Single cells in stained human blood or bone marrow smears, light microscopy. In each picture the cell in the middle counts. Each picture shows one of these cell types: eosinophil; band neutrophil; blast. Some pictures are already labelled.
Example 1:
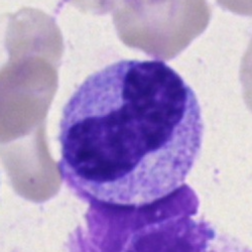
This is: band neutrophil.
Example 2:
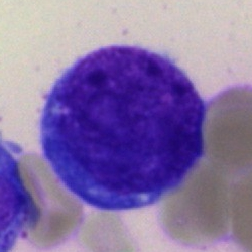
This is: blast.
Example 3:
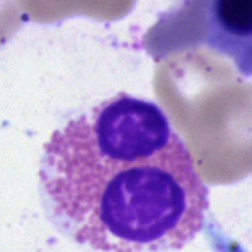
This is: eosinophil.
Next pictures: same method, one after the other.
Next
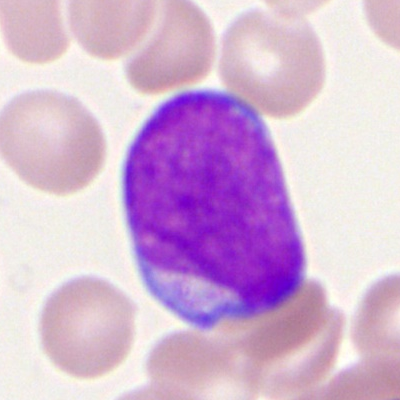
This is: blast.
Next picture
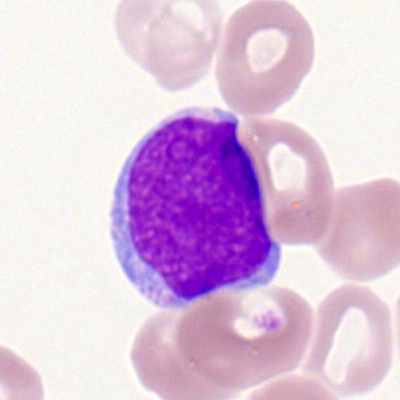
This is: blast.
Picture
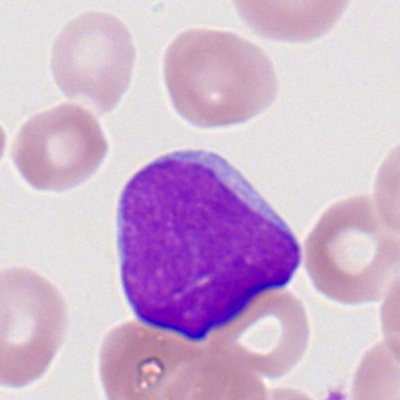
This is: blast.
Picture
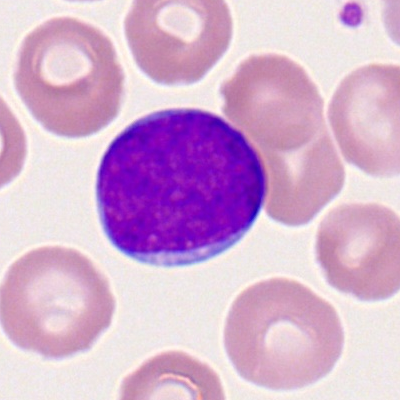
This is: blast.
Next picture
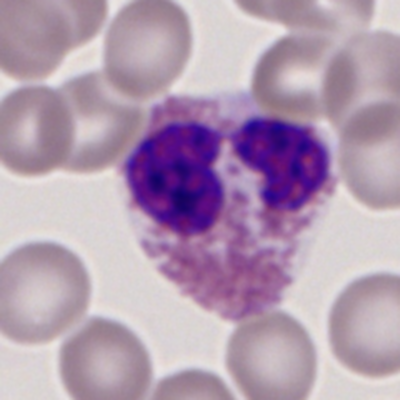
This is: eosinophil.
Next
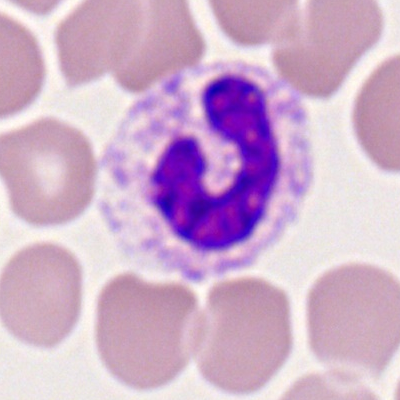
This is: band neutrophil.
